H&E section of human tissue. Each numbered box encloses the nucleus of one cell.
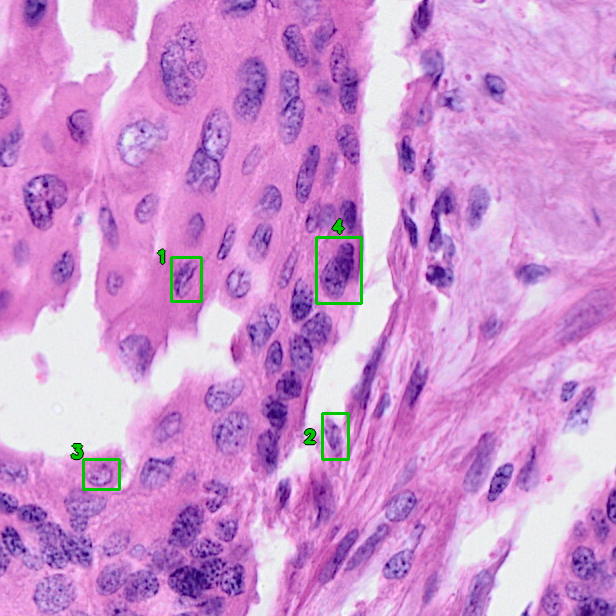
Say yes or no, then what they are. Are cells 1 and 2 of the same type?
No, a squamous carcinoma cell is what cell 1 is, and a fibroblast is what cell 2 is.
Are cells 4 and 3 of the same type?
Yes, the cells marked 4 and 3 are both squamous carcinoma cells.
